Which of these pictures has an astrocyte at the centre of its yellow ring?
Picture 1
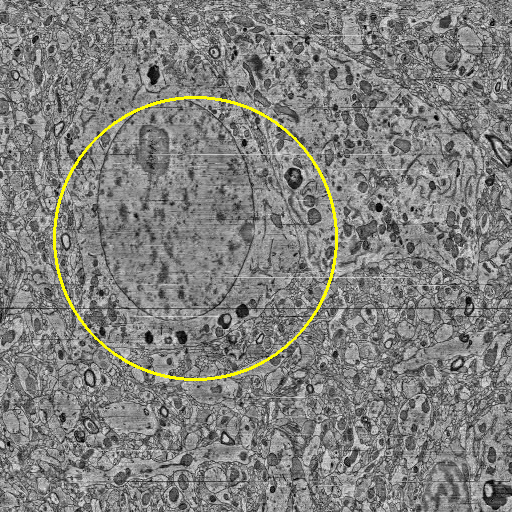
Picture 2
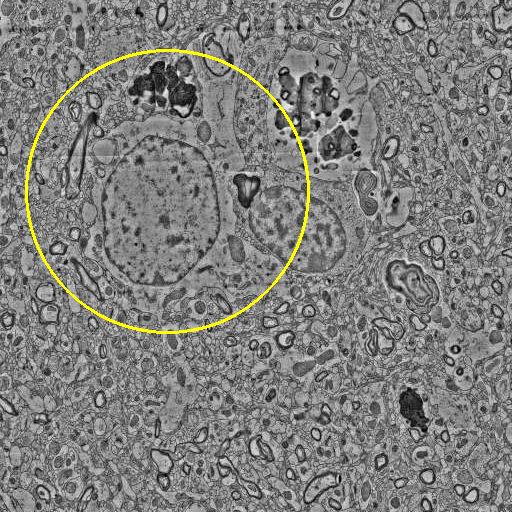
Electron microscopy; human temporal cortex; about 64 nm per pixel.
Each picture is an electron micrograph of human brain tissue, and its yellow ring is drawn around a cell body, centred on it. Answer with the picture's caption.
Picture 2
